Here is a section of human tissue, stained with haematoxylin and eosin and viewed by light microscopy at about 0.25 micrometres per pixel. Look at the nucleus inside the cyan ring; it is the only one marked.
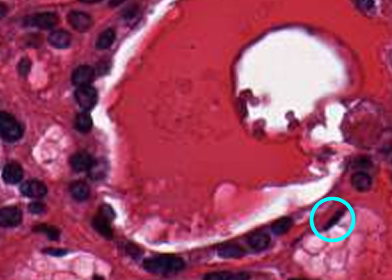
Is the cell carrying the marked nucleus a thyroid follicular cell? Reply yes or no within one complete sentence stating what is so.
No, the marked nucleus is assigned not to a thyroid follicular cell but to a supporting cell.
